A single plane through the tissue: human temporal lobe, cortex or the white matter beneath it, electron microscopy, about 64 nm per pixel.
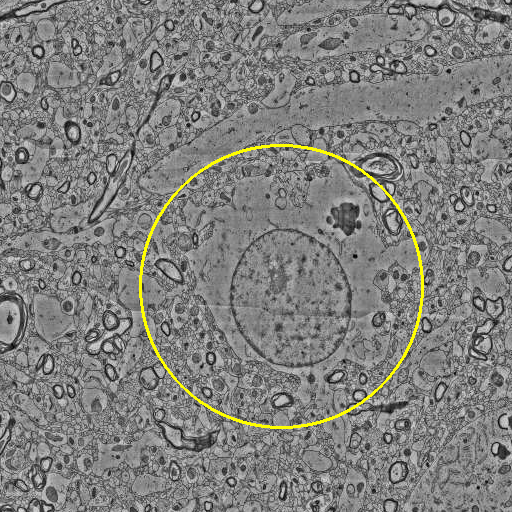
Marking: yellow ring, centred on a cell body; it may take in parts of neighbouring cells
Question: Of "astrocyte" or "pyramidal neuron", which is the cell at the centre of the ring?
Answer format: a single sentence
The ring surrounds the body of an astrocyte.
